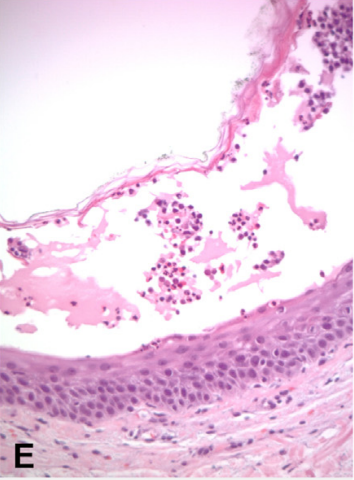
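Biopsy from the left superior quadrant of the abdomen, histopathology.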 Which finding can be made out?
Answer: subcorneal neutrophilic pustule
